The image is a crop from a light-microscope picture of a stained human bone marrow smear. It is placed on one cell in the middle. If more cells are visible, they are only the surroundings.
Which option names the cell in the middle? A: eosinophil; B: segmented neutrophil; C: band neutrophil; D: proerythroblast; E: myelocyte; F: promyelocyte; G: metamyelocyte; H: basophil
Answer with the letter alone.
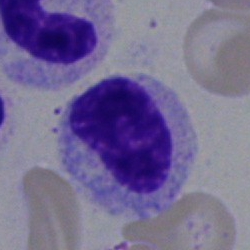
G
